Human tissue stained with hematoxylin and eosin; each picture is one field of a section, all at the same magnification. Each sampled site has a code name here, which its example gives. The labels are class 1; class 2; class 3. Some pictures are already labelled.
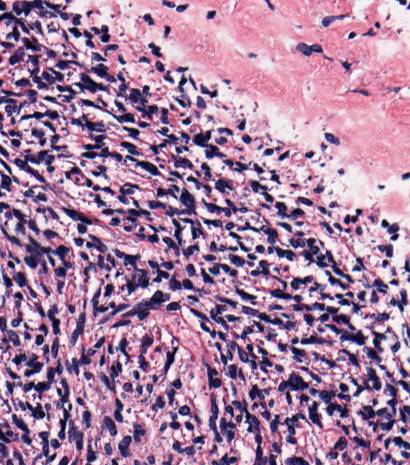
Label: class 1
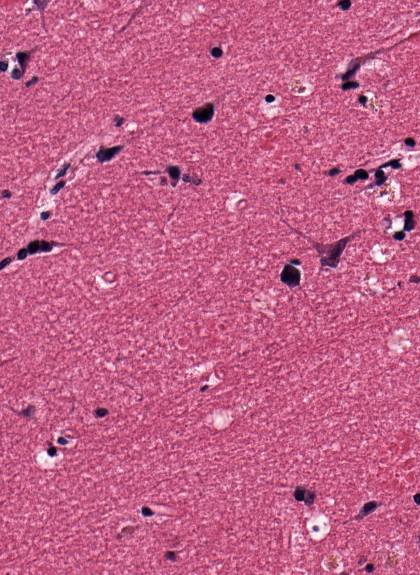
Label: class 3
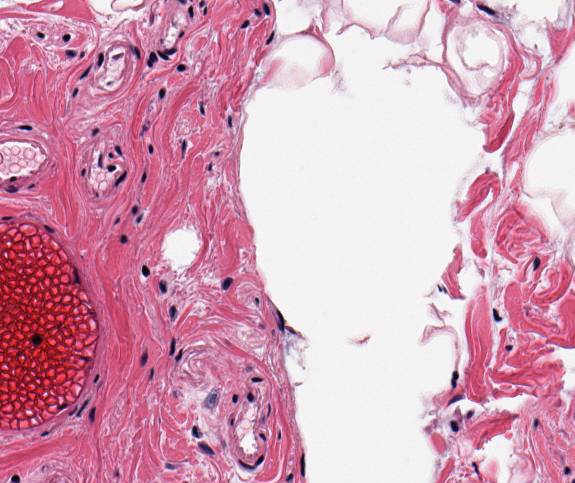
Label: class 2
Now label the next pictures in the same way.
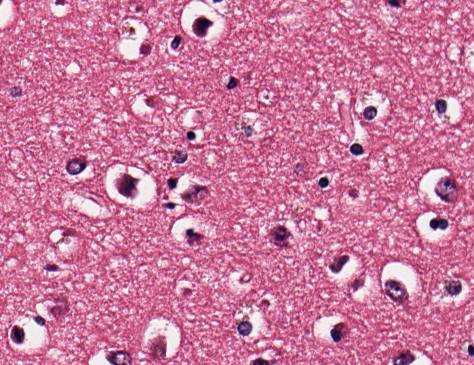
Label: class 3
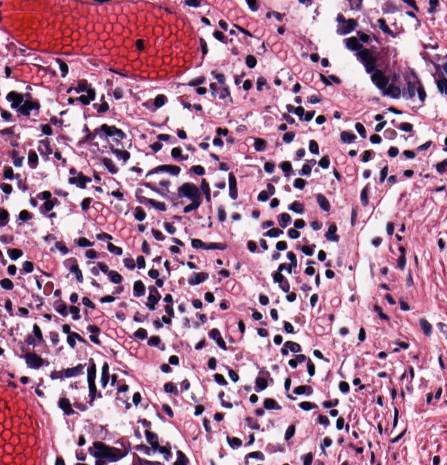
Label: class 2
